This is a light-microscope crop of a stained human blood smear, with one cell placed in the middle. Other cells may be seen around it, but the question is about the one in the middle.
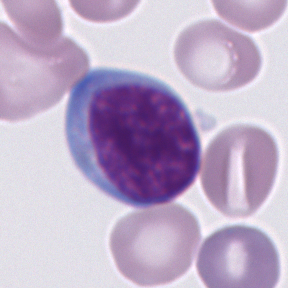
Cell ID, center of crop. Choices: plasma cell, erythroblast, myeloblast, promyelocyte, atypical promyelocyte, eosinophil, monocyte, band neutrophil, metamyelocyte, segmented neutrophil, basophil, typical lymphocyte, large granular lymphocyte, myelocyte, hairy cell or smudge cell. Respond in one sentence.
In the middle of this smear crop is a typical lymphocyte.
